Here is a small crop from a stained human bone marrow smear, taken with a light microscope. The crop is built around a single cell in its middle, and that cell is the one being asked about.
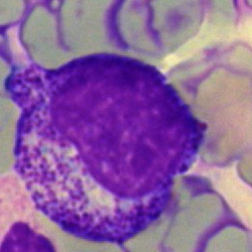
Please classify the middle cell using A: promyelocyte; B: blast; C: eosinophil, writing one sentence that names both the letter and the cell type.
Option A holds, for the cell in the middle is a promyelocyte.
